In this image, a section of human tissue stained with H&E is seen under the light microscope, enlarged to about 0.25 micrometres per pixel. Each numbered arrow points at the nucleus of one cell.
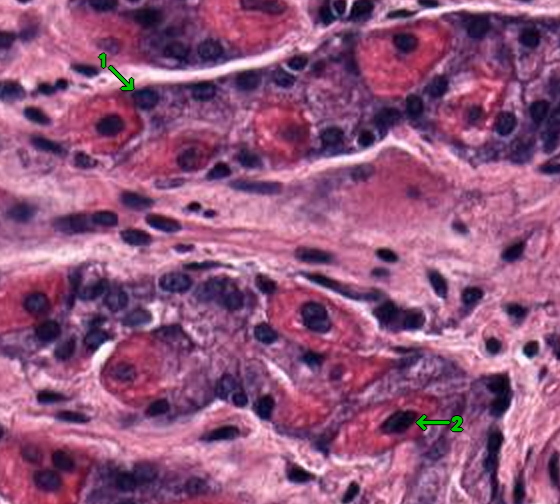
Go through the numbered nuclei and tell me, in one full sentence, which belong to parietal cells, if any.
Only nucleus 2 is located within a parietal cell.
